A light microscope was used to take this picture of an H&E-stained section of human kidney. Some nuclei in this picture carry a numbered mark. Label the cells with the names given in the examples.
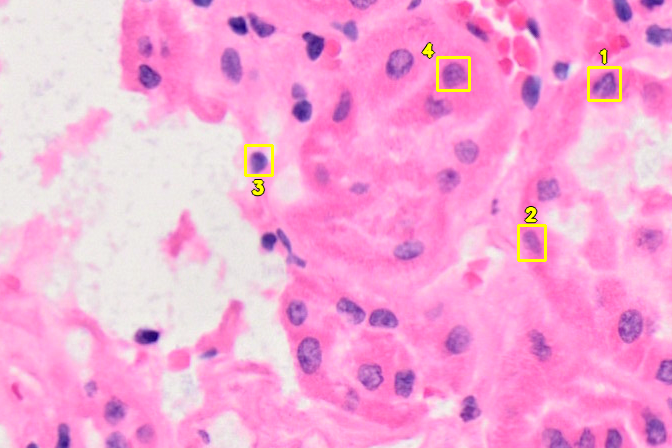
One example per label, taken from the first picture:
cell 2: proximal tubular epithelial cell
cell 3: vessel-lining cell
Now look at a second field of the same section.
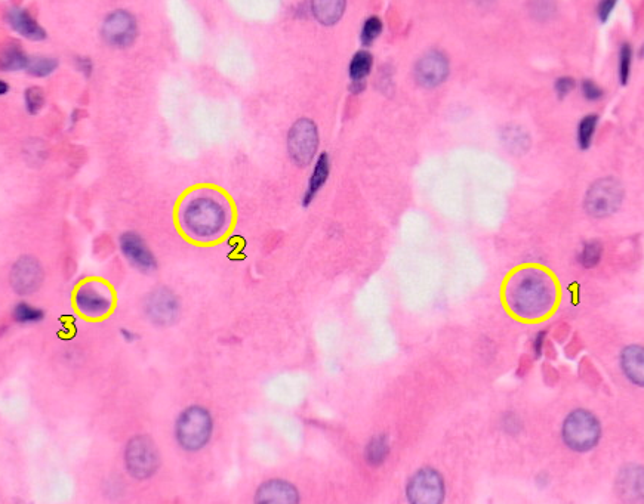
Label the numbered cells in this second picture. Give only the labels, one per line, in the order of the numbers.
proximal tubular epithelial cell
proximal tubular epithelial cell
vessel-lining cell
